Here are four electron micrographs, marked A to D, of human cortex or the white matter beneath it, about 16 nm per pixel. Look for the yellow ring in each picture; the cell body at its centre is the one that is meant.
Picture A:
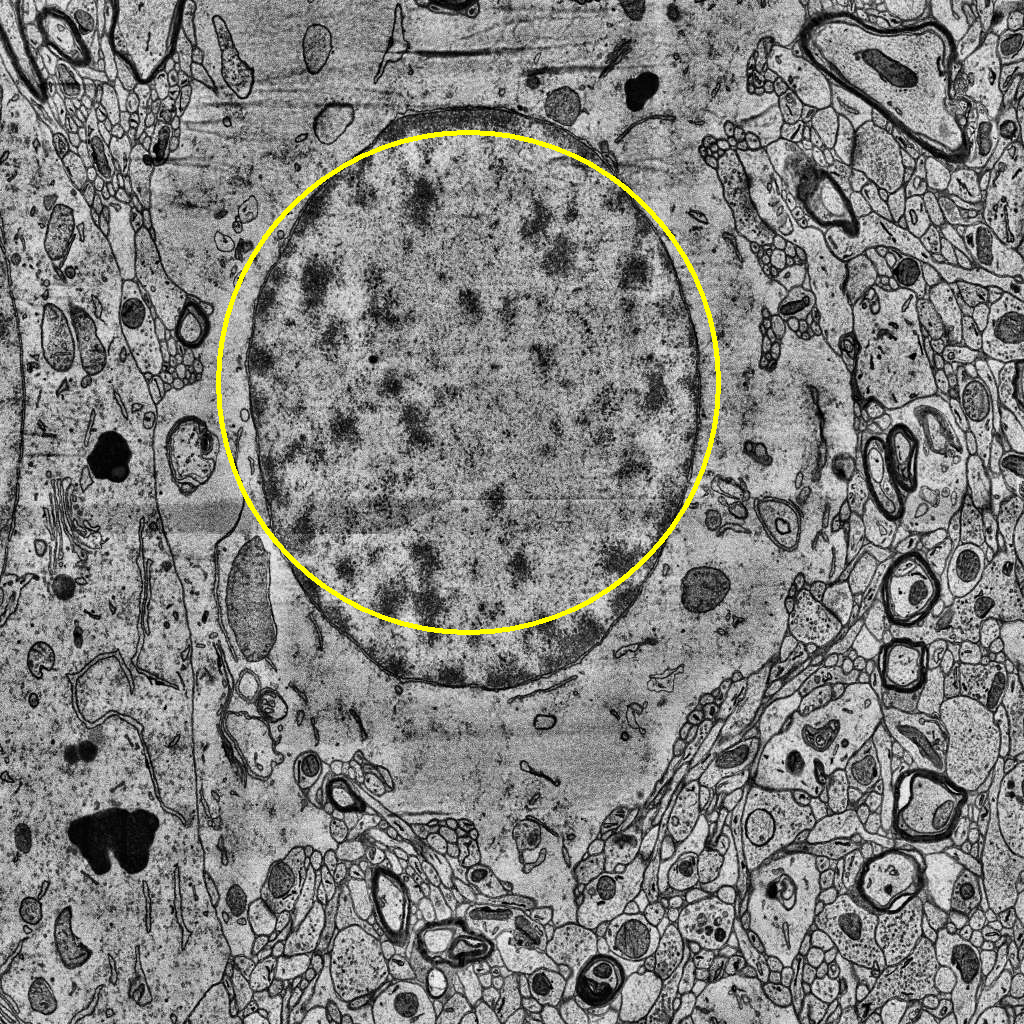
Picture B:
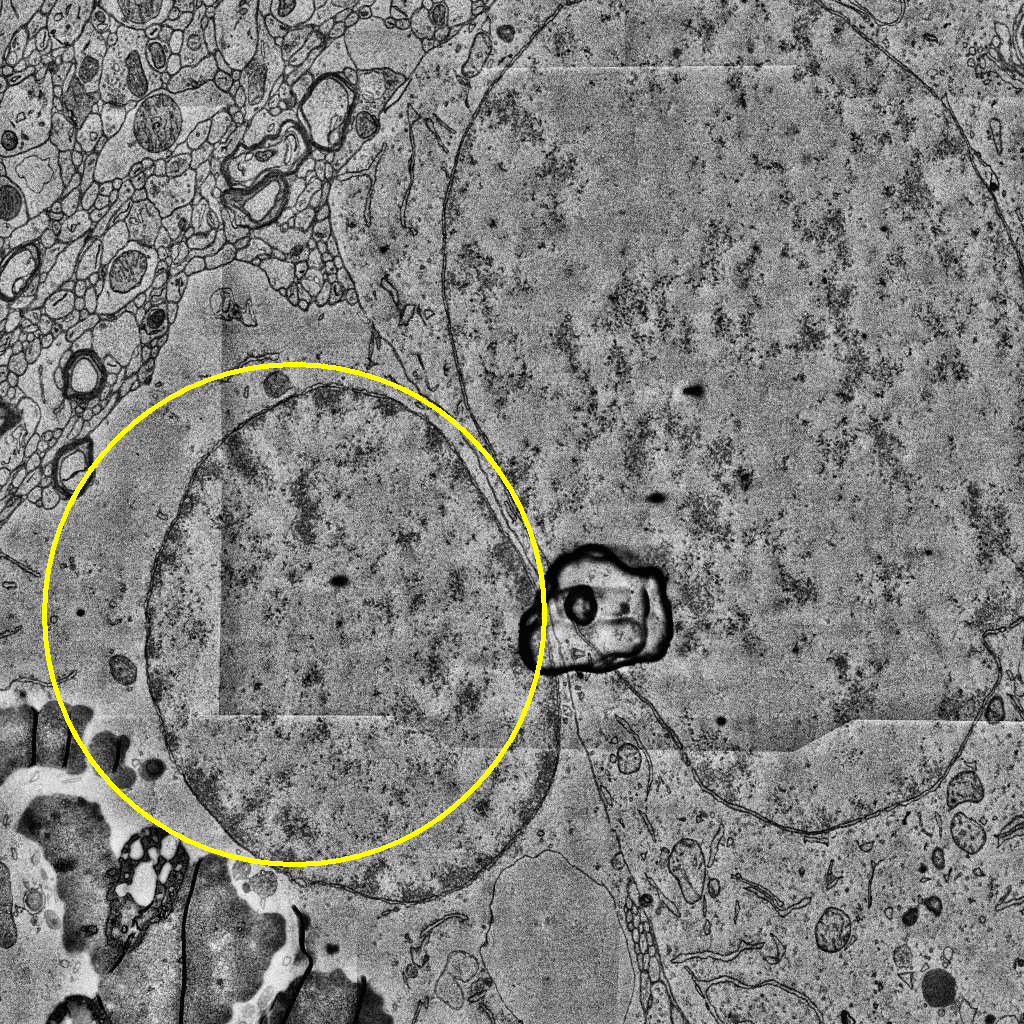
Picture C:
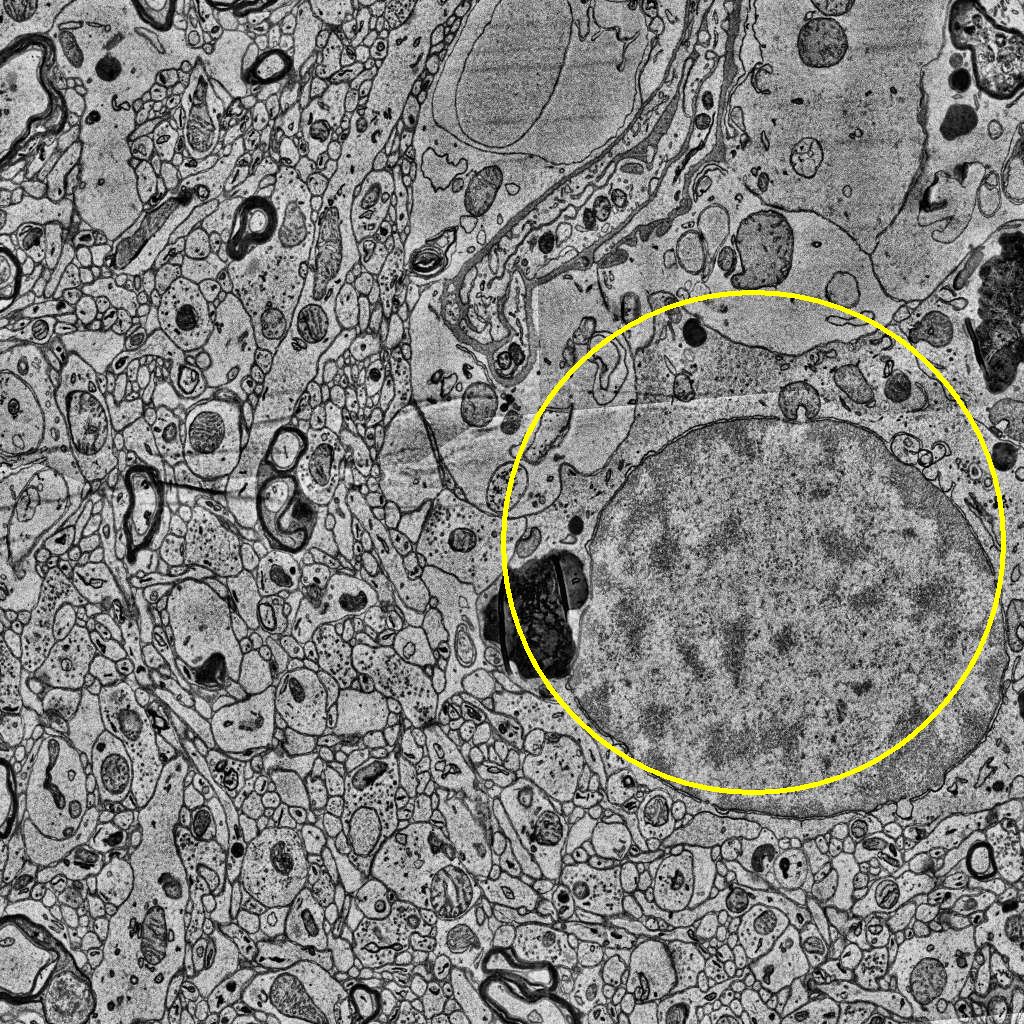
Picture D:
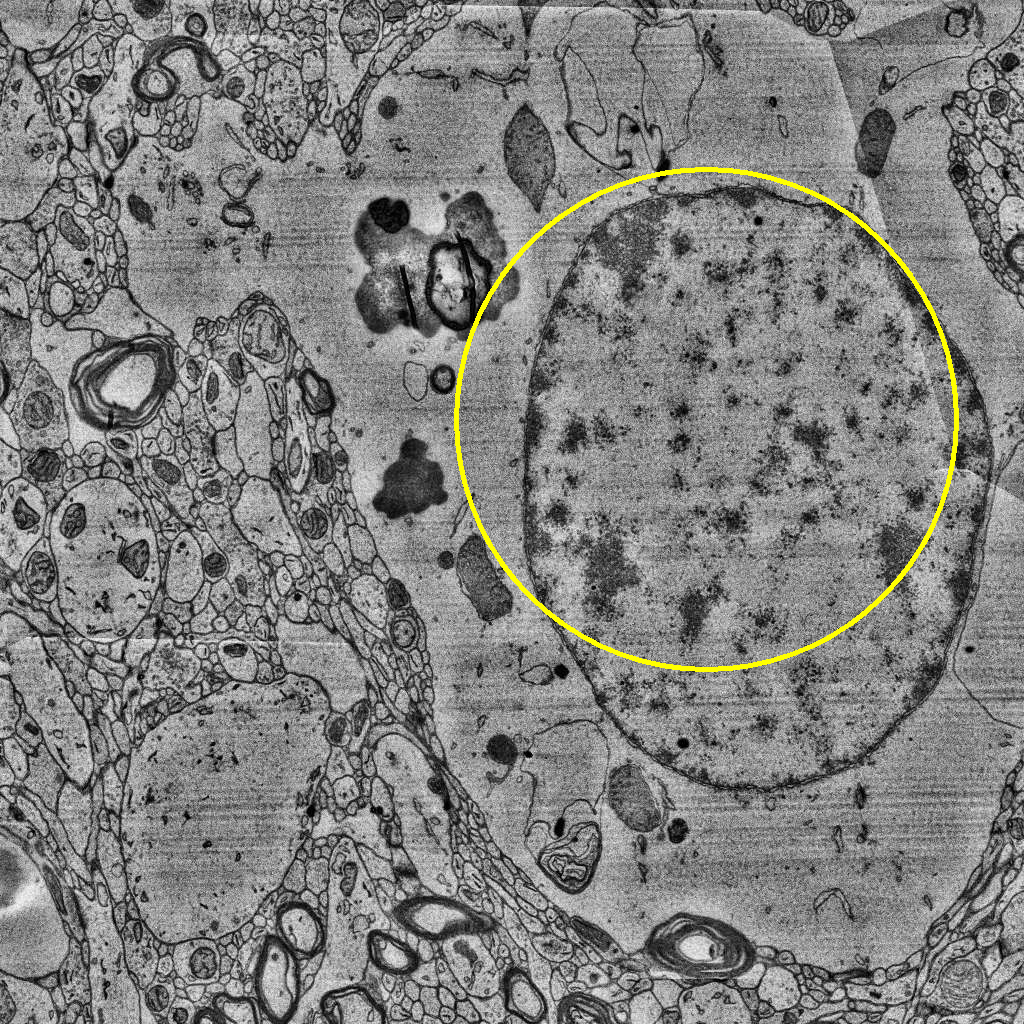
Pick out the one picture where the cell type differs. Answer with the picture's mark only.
C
